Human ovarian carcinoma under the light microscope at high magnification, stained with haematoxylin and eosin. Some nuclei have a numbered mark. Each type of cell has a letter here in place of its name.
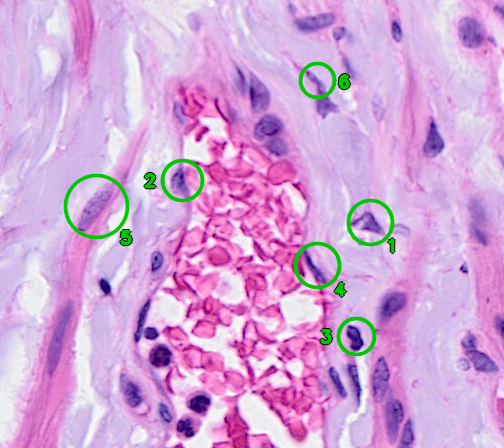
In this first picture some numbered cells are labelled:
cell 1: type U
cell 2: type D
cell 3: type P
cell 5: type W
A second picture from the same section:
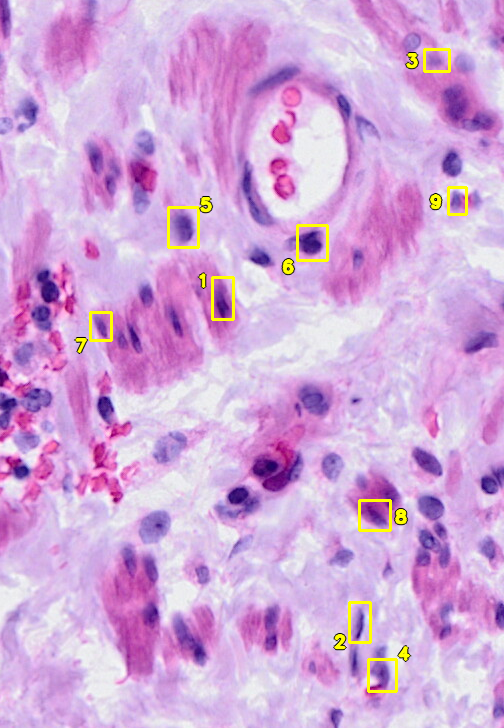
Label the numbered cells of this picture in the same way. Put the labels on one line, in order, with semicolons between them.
type W; type U; type W; type D; type U; type P; type W; type W; type D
